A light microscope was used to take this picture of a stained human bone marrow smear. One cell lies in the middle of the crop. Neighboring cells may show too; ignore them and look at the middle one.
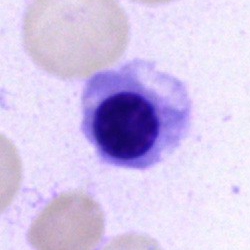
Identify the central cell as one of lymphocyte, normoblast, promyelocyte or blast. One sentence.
The cell that lies at the centre of the crop is a normoblast.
